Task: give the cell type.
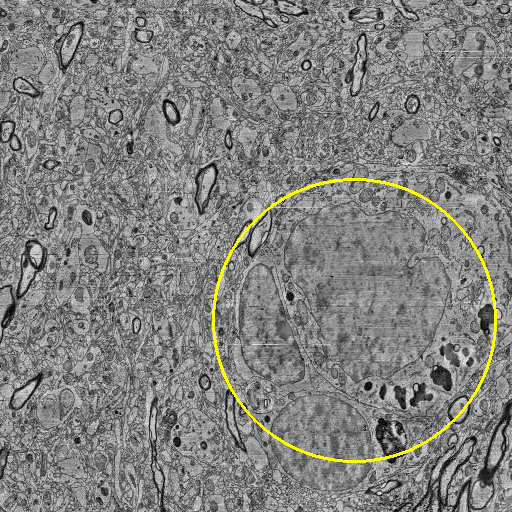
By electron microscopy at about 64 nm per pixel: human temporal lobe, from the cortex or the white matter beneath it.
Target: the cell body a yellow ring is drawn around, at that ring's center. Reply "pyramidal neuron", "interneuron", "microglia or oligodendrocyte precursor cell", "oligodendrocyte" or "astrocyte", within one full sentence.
In this picture, the cell whose body lies at the ring's center is an interneuron.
